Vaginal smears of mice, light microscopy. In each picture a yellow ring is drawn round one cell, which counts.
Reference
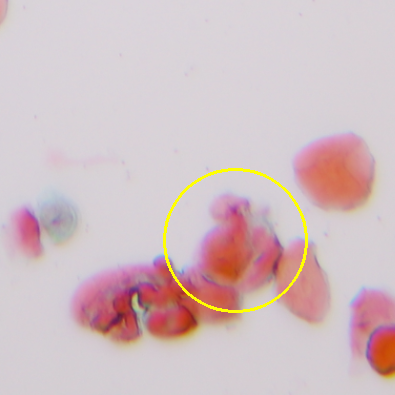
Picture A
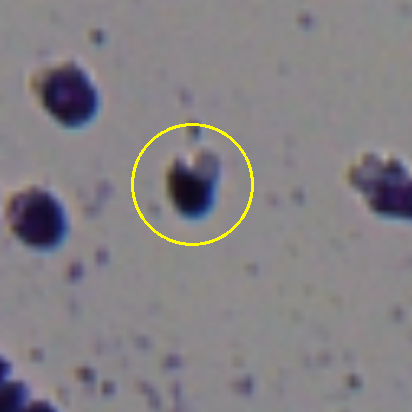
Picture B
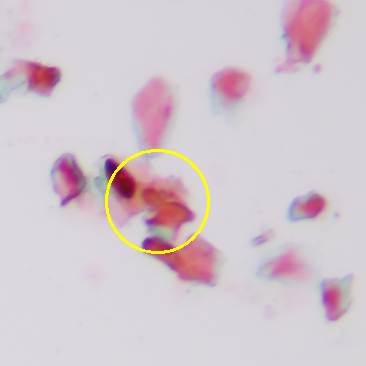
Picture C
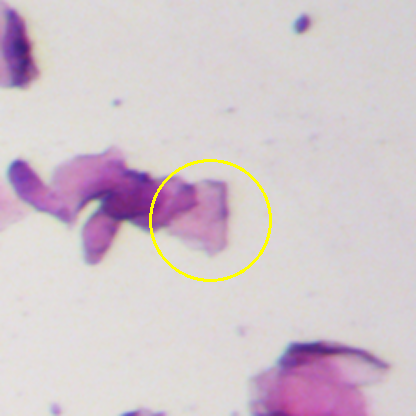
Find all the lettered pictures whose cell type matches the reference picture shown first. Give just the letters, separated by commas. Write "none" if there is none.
B, C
